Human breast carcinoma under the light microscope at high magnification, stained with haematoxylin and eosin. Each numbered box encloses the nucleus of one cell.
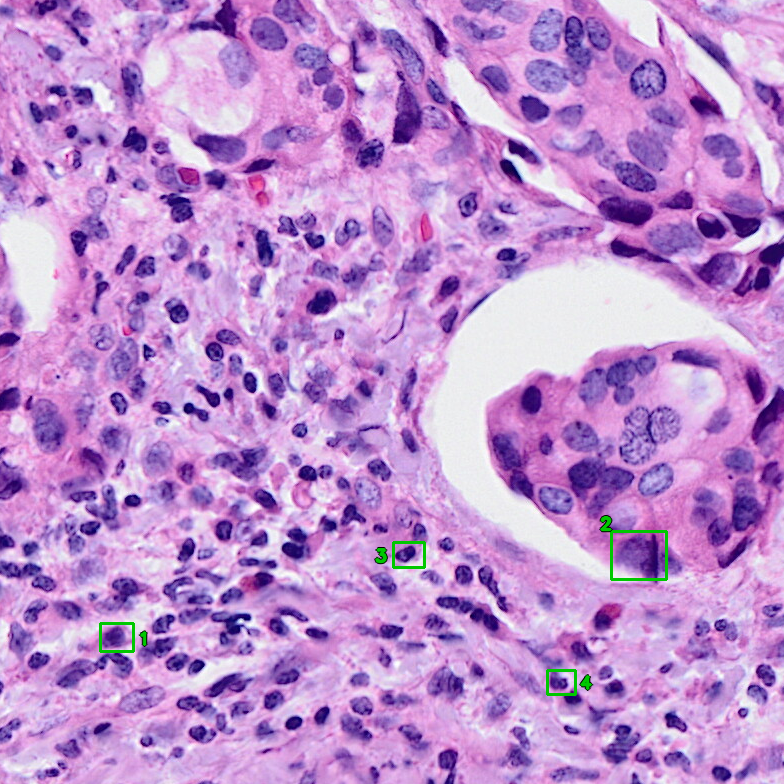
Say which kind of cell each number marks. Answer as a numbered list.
1. lymphocyte
2. carcinoma cell
3. lymphocyte
4. lymphocyte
